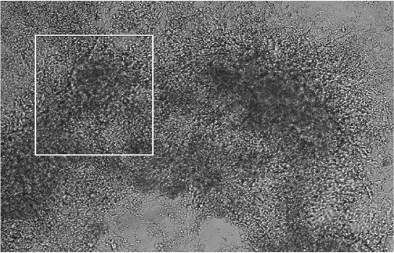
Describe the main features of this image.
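Cells grow as a dense, continuous sheet with a granular, mottled texture. Individual cell outlines are hard to separate. Darker, denser multilayered aggregates stand out against the surrounding thinner layer. One aggregate lies at upper left, inside a white rectangle, and a larger one lies at centre right. Toward the lower middle the sheet thins and gives way to paler, sparsely covered areas. No nuclear or cytoplasmic detail is resolved at this magnification. The arrangement is that of clustered cell masses rather than an ordered tissue.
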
